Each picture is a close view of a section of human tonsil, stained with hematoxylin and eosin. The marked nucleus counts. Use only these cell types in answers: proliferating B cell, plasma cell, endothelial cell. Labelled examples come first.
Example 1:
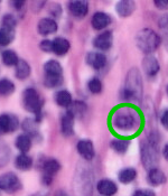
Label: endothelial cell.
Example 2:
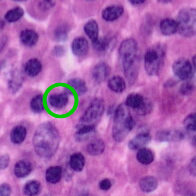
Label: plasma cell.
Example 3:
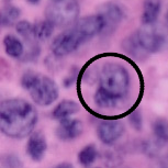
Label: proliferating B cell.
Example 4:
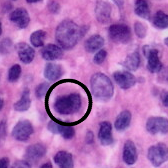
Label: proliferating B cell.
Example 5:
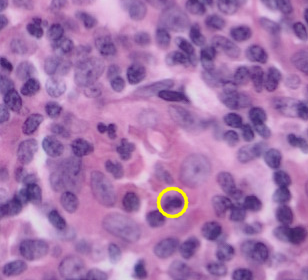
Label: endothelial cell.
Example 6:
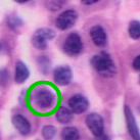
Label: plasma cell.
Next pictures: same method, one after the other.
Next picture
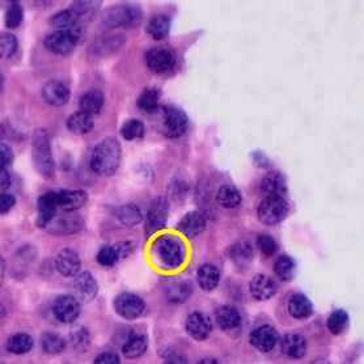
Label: plasma cell.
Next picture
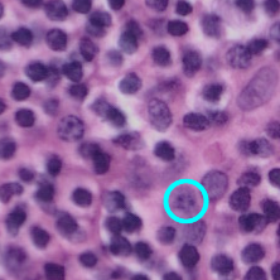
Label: endothelial cell.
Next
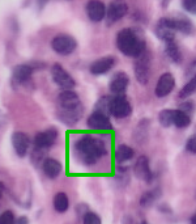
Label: proliferating B cell.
